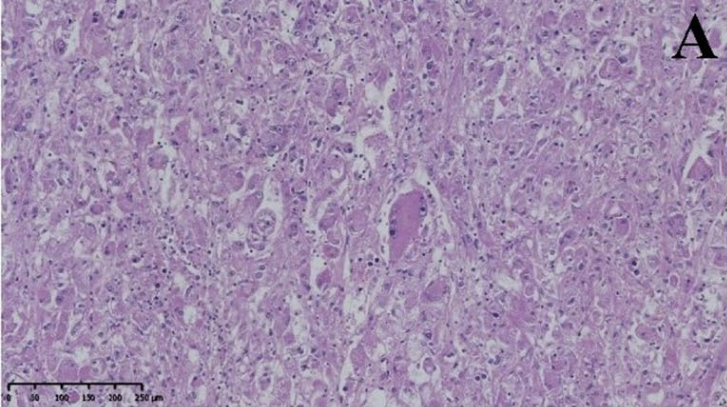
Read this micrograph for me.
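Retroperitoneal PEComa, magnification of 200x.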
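Tumour tissue made of sheets of large polygonal tumour cells with abundant pink, glassy to granular cytoplasm and nuclei of varying size and shape. Near the centre lies a much larger multinucleated tumour giant cell with dense pink cytoplasm, while the surrounding cells are loosely packed with small clear spaces between them.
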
